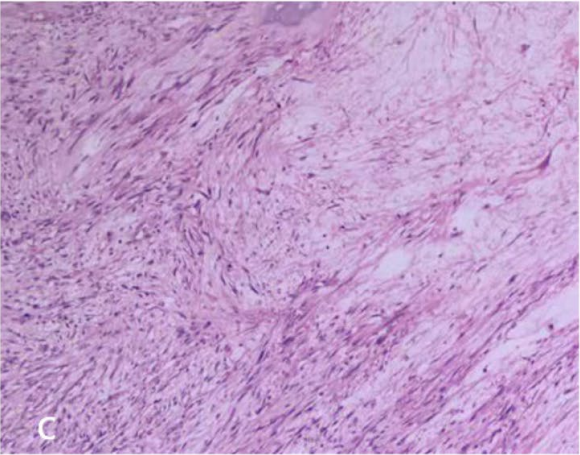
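This is a mass made of spindled fibroblast- and myofibroblast-like cells, packed densely and arranged in bundles. The cells are elongated, with slender, tapered, dark purple nuclei and scant pale pink cytoplasm that merges with the surrounding fibrillary stroma. The bundles stream in different directions, mostly running diagonally across the field. Between and around the bundles lie looser, paler, more sparsely cellular areas of pink, partly myxoid-looking matrix, most evident toward the upper right.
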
